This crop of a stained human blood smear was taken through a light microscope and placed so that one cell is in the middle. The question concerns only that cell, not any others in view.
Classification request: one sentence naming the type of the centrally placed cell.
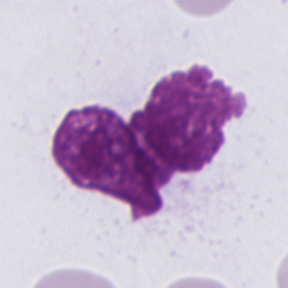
The cell around which this crop is centred is a smudge cell.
